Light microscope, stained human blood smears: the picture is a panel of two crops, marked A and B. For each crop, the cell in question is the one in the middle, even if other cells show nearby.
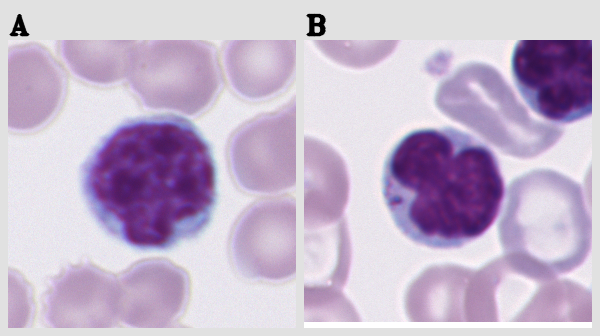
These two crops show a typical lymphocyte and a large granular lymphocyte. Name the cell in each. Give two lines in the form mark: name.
A: typical lymphocyte
B: large granular lymphocyte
